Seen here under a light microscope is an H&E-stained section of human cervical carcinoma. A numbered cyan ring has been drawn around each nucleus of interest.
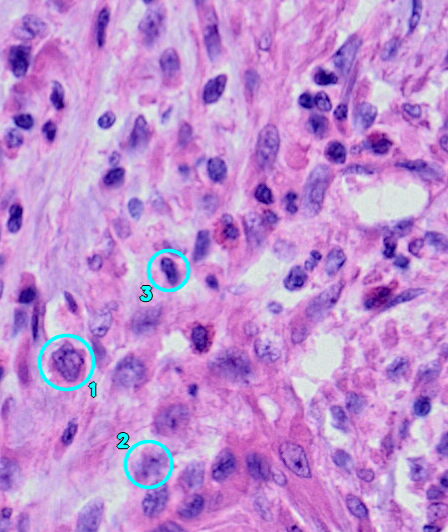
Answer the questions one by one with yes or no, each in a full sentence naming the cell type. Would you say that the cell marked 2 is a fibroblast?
Yes, the cell denoted by 2 is a fibroblast.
